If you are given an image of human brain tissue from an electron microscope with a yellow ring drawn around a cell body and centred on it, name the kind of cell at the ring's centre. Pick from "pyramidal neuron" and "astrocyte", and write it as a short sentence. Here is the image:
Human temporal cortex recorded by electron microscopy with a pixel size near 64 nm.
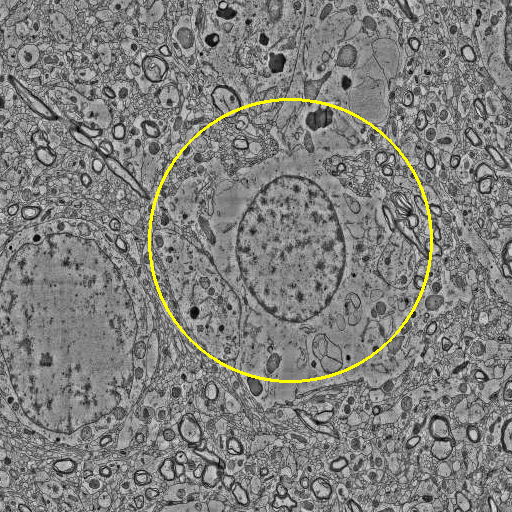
The cell at the ring's centre is an astrocyte.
